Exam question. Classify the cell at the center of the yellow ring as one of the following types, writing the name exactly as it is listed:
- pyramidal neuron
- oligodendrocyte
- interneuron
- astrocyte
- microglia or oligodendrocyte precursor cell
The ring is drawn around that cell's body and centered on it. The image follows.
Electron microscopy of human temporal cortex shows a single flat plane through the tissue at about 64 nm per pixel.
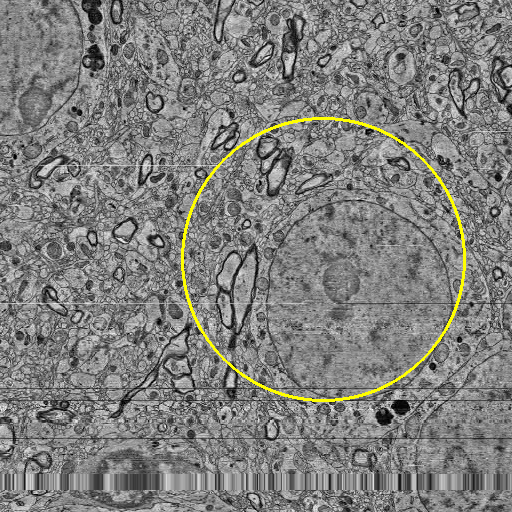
pyramidal neuron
